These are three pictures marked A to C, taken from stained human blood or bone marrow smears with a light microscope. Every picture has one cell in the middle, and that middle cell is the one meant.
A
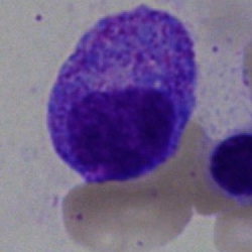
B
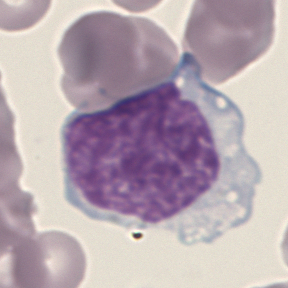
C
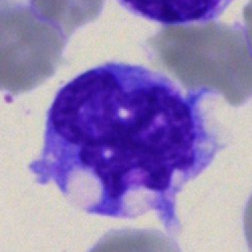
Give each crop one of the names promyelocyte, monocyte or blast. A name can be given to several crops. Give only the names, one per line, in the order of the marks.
promyelocyte
blast
monocyte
